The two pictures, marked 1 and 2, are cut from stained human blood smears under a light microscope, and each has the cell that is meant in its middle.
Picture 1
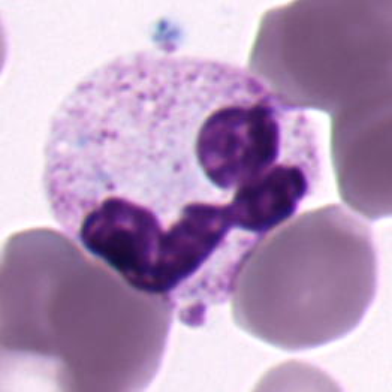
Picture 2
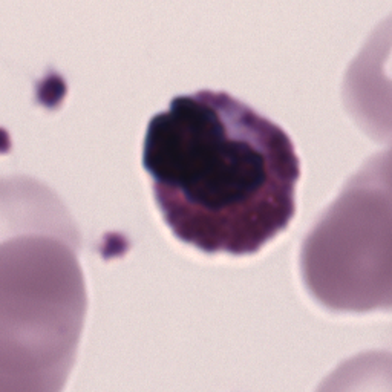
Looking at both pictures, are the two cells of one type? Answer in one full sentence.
No, picture 1 shows a segmented neutrophil and picture 2 shows an eosinophil.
